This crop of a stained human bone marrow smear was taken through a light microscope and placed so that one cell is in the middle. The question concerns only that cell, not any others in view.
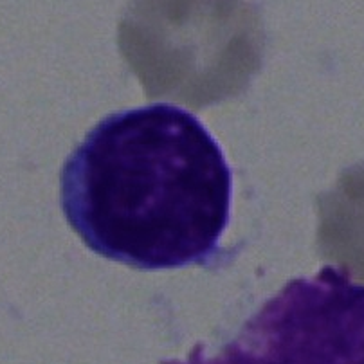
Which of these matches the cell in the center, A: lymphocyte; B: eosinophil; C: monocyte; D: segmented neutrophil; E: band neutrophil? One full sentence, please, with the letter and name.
The cell at the centre, correctly named in option A, is a lymphocyte.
